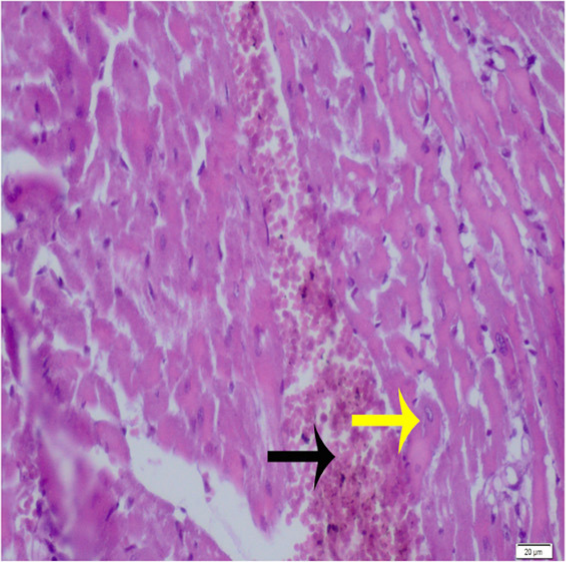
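Heart muscle with pink cardiac muscle cells running obliquely, their oval nuclei scattered along the fibres. A band of packed red blood cells lies between the fibres, marking a hemorrhagic area, and next to it some muscle cells look paler with indistinct nuclei, consistent with necrotic cells.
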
